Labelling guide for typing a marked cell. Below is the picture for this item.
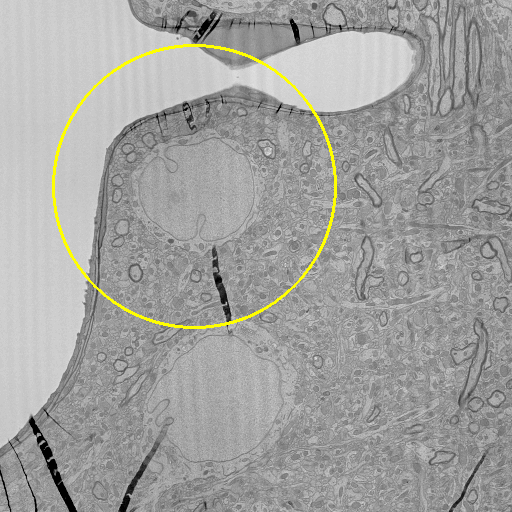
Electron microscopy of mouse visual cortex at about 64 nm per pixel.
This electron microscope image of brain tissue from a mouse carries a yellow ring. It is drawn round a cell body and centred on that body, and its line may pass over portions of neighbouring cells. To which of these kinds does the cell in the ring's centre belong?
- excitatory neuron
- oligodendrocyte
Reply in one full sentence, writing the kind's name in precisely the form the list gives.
Here we have an excitatory neuron at the centre of the yellow ring in the picture.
